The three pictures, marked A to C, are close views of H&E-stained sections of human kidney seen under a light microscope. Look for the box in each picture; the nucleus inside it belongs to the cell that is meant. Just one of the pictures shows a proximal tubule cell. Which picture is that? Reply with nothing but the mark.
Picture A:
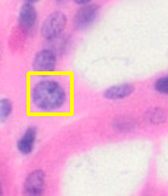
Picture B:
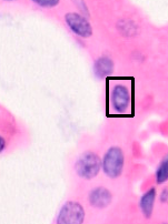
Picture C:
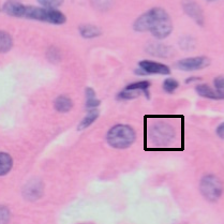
C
